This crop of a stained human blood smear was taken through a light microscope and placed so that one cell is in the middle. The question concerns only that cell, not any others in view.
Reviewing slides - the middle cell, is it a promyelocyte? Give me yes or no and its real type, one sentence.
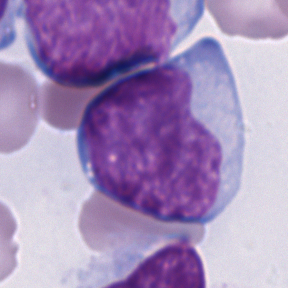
No, the one in the center is not a promyelocyte; it is a myeloblast.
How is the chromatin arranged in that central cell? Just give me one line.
Check the chromatin: it is fine and not coarsely clumped.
